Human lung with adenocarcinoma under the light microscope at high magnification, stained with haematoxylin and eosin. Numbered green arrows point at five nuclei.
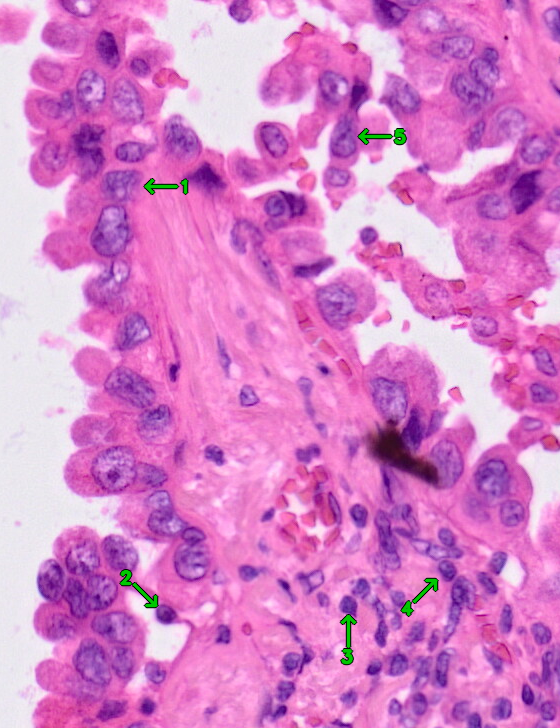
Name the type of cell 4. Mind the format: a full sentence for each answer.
The numbered cell 4 is identified here as a lymphocyte.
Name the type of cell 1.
The cell that goes by number 1 is a carcinoma cell.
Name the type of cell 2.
The label 2 in this section denotes a lymphocyte.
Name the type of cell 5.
In this section, the cell numbered 5 is a carcinoma cell.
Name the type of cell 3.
The nucleus with number 3 is that of a lymphocyte.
